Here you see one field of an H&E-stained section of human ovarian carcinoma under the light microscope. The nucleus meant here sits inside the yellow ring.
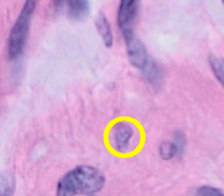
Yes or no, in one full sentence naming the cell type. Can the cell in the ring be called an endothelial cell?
No, as classified here, the cell in the ring is a smooth muscle cell and not an endothelial cell.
